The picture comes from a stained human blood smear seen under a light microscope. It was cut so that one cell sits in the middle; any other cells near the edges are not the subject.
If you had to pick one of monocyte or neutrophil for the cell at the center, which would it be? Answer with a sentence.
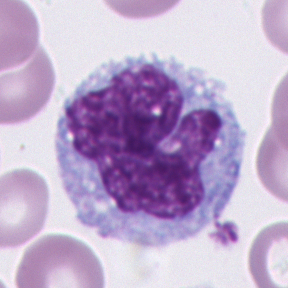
The cell occupying the middle of the crop is a monocyte.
